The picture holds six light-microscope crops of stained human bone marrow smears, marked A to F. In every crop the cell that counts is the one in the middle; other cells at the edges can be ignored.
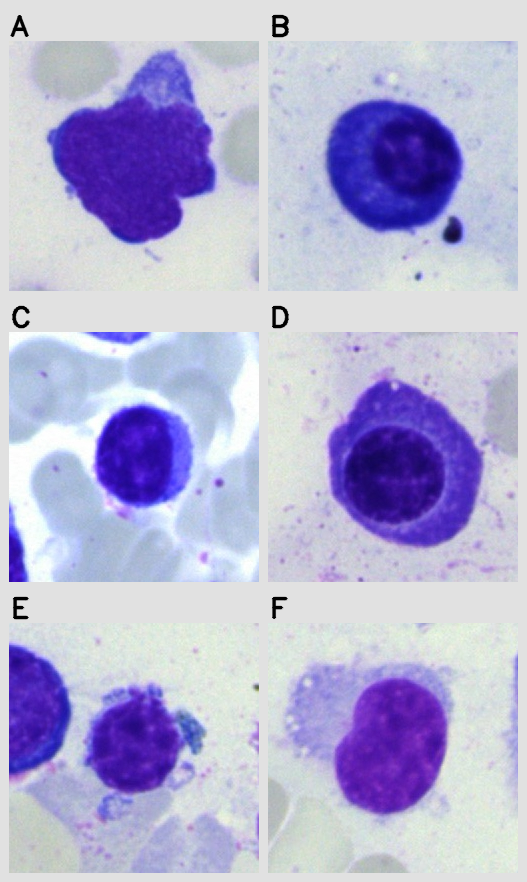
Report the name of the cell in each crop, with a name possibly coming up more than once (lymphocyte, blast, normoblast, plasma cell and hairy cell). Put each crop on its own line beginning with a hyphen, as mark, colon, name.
- A: blast
- B: plasma cell
- C: lymphocyte
- D: plasma cell
- E: lymphocyte
- F: hairy cell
